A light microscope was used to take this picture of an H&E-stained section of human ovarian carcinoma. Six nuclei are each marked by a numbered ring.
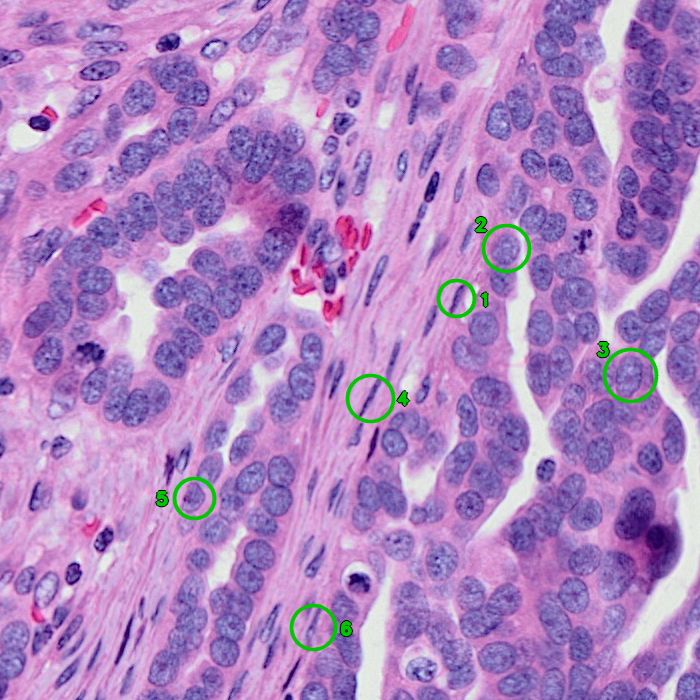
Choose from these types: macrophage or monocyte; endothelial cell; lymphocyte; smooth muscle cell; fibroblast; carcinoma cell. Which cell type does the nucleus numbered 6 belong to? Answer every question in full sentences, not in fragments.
Cell 6, among those numbered, is a fibroblast.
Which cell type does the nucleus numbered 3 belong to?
The marked cell with the number 3 is recognised as a carcinoma cell.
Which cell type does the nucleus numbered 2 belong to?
Looking at the numbered marks, cell 2 is a carcinoma cell.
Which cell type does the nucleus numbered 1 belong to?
The cell pointed out by number 1 is a fibroblast.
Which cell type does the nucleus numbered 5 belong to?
The cell that goes by number 5 is a carcinoma cell.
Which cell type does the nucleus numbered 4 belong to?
The cell that goes by number 4 is a fibroblast.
